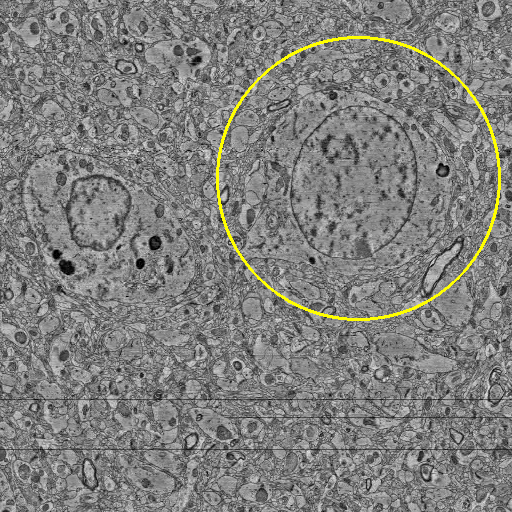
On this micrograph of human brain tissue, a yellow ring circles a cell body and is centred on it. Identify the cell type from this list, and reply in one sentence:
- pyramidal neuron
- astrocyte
The cell at the centre is a pyramidal neuron.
